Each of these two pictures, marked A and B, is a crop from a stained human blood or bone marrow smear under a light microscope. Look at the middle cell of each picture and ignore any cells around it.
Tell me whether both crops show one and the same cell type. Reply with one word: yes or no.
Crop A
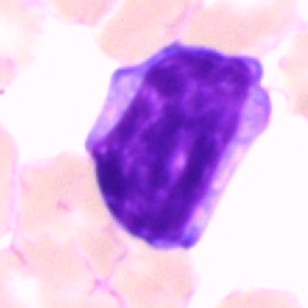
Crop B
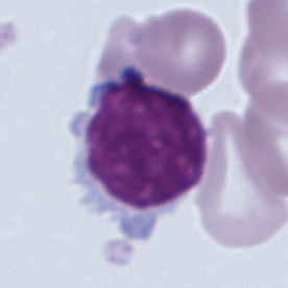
yes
